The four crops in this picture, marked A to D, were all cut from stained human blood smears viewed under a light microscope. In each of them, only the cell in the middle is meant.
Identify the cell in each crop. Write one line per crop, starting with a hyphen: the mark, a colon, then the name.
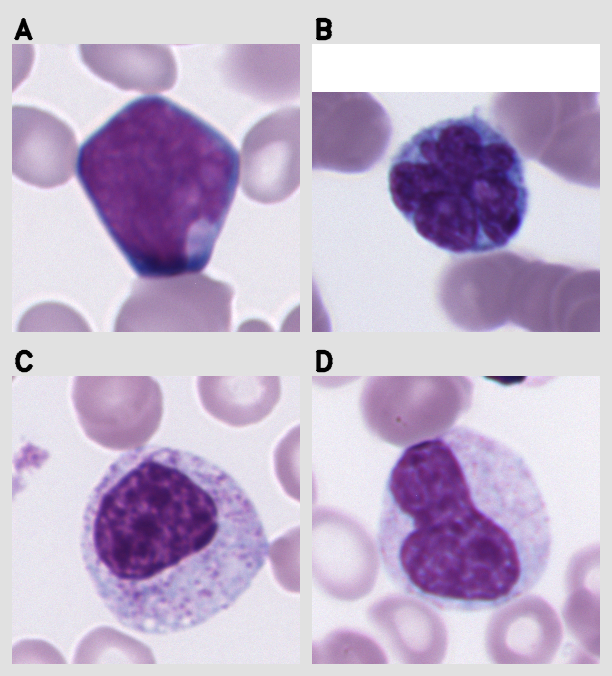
- A: blast
- B: monocyte
- C: myelocyte
- D: band neutrophil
